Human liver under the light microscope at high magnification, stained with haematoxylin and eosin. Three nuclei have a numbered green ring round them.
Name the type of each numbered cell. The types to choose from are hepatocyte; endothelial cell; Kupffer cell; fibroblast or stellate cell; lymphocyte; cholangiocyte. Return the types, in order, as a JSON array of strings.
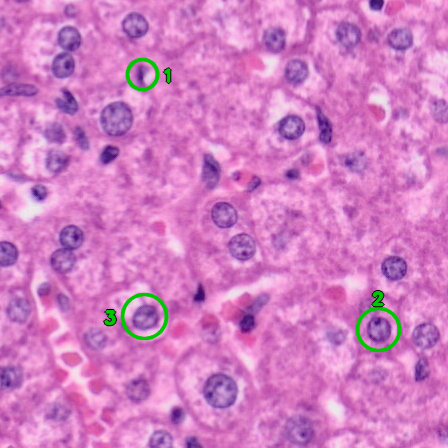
["endothelial cell", "hepatocyte", "hepatocyte"]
